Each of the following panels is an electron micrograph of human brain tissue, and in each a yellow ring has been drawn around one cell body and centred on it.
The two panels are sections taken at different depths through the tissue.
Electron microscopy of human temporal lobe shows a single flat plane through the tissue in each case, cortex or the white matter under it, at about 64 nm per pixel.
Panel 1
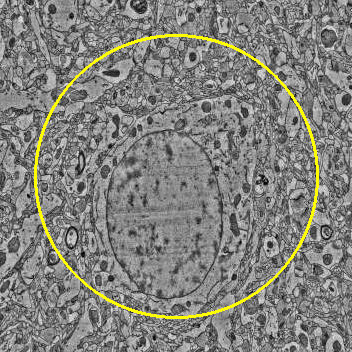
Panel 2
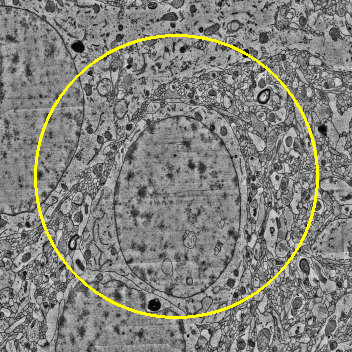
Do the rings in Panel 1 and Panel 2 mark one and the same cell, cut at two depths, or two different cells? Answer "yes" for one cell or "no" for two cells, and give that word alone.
no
